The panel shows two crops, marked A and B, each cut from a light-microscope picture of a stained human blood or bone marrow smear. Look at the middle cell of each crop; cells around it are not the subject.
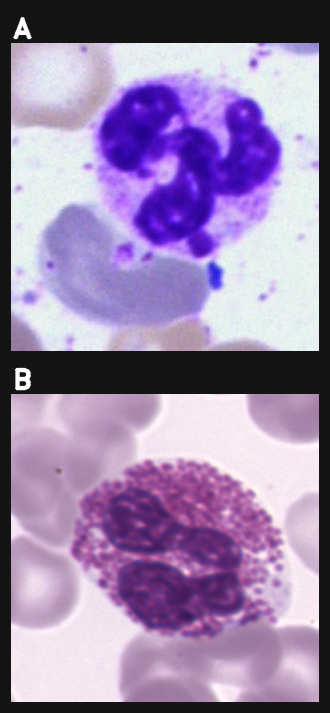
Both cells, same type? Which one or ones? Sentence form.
No, an eosinophil is in crop B, and a segmented neutrophil is in crop A.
